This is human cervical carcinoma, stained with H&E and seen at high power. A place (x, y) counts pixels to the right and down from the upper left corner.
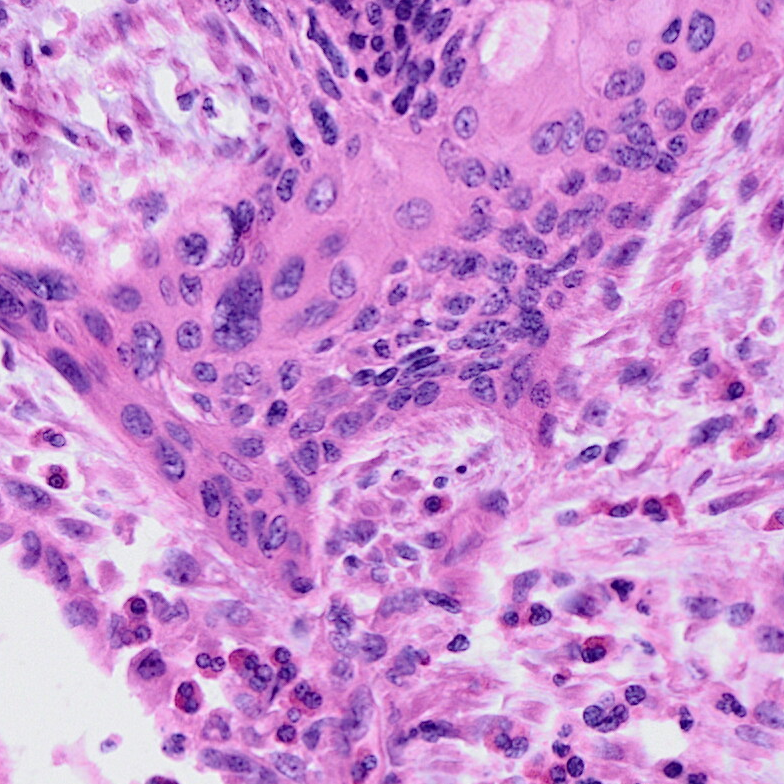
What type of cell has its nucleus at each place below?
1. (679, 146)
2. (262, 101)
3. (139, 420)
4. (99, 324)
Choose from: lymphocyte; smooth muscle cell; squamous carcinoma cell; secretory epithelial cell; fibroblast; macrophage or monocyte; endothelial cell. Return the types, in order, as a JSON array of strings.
["squamous carcinoma cell", "fibroblast", "squamous carcinoma cell", "squamous carcinoma cell"]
